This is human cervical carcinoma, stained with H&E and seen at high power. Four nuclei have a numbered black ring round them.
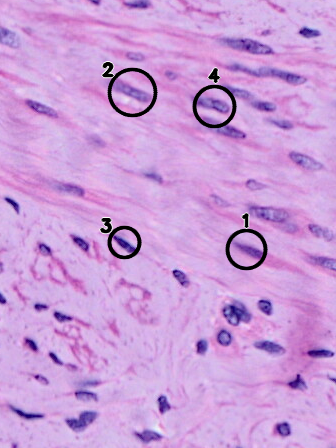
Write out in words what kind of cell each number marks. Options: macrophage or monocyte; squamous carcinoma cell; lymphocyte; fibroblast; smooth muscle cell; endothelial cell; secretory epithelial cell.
Cell 1 is a smooth muscle cell, cell 2 is a smooth muscle cell, cell 3 is a fibroblast and cell 4 is a smooth muscle cell.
